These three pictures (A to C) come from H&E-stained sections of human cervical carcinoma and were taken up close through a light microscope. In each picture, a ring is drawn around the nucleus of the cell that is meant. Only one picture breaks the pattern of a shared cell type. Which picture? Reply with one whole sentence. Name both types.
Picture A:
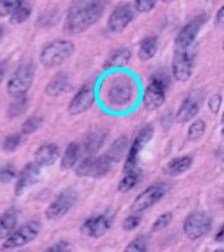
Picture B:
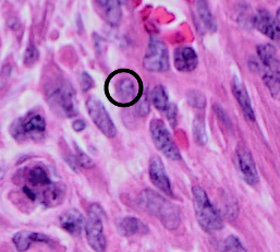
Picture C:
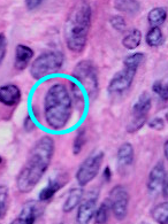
Picture A differs, because its cell is a squamous carcinoma cell and the rest are endothelial cells.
